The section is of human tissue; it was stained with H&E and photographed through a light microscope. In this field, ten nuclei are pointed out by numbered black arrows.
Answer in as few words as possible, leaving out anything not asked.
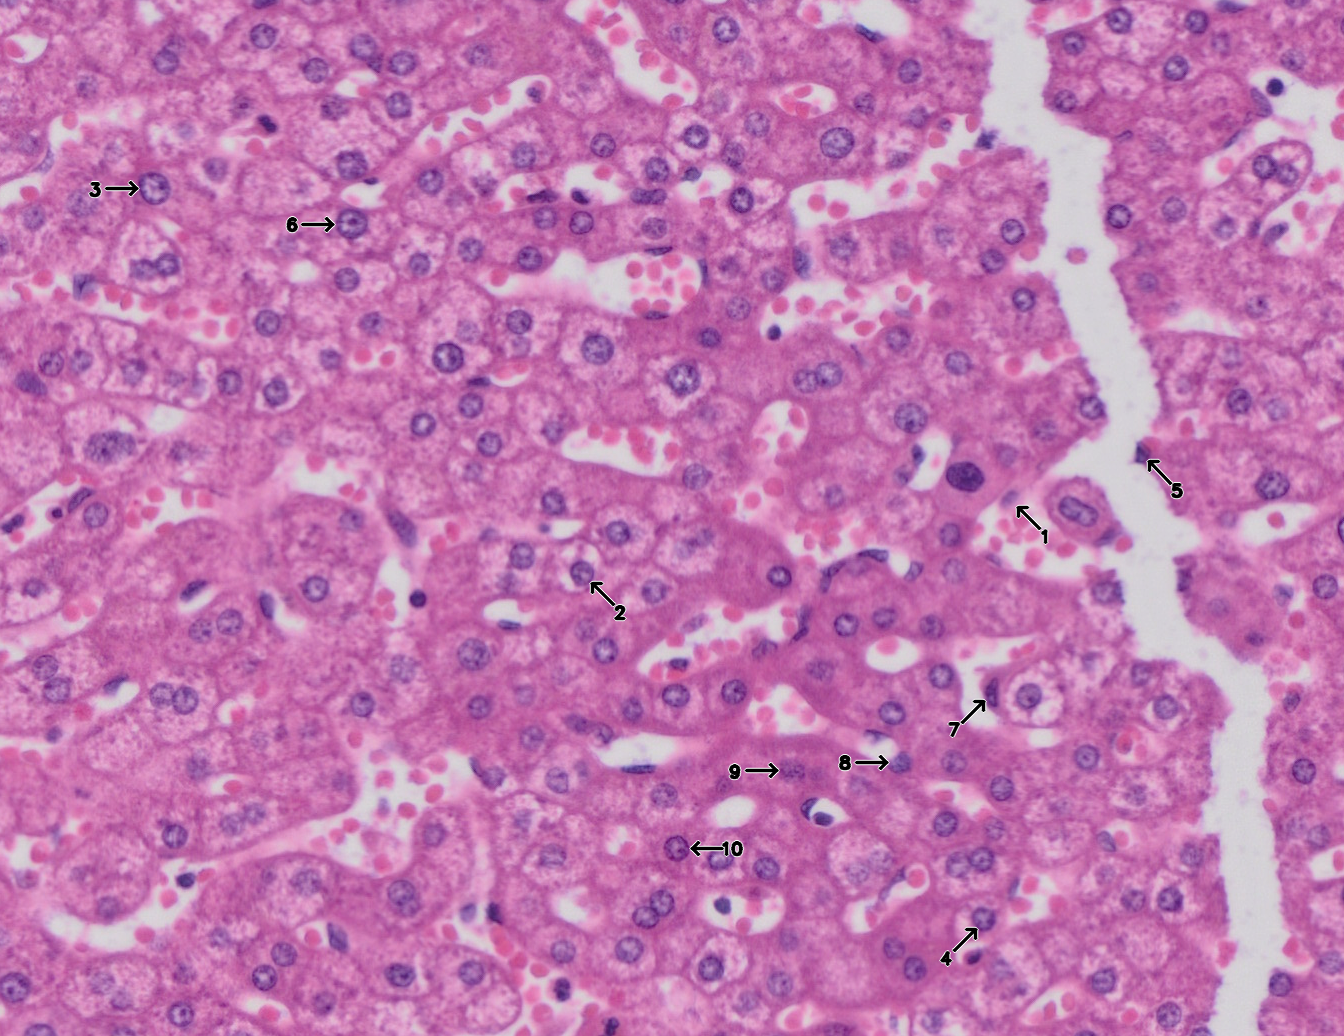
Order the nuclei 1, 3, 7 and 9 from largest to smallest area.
3, 9, 7, 1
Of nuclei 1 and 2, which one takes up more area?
2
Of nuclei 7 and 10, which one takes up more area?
10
